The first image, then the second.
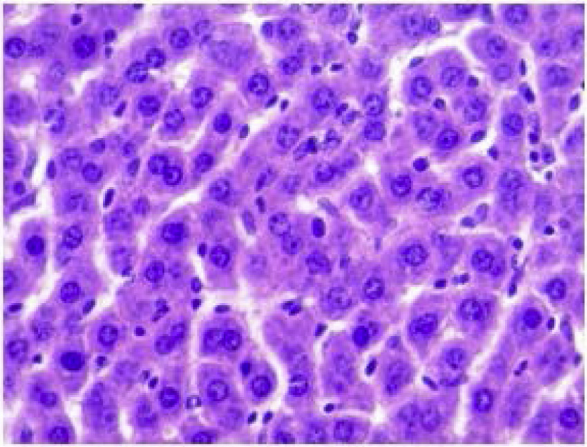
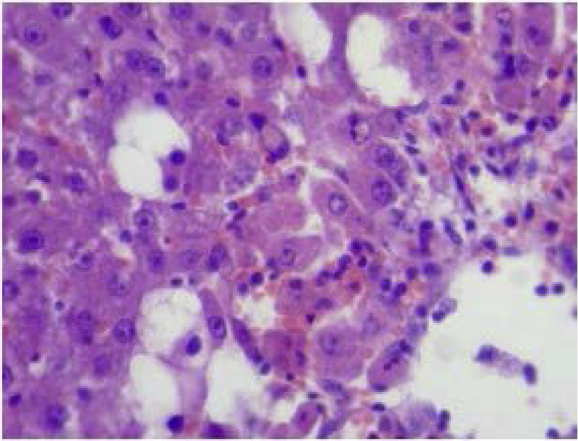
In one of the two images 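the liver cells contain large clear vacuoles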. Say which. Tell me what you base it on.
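The second image. Second image: several large clear vacuoles lie among the liver cells. First image: liver cells have evenly stained cytoplasm without vacuoles.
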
